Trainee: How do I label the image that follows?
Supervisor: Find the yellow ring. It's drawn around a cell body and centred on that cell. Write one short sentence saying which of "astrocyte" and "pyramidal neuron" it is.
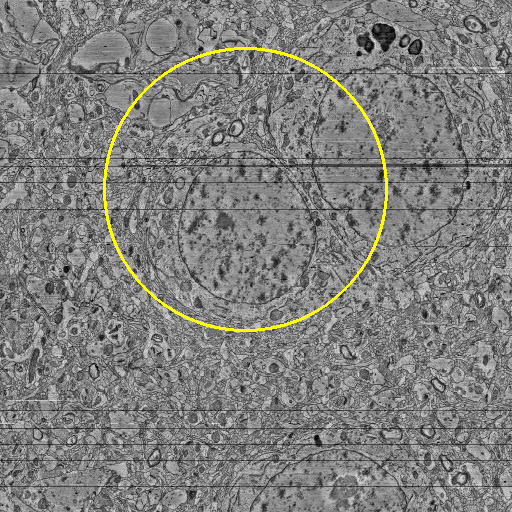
This is the cell body of a pyramidal neuron.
